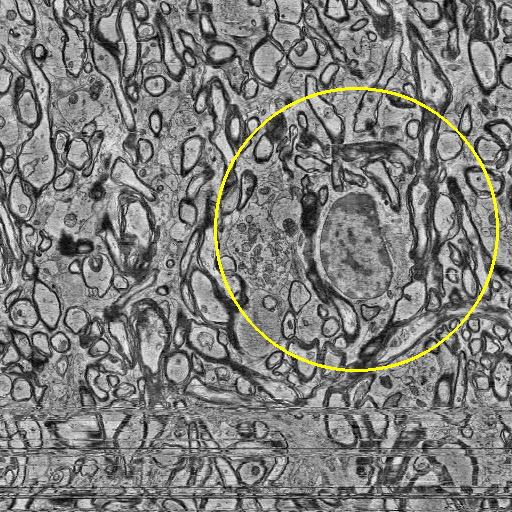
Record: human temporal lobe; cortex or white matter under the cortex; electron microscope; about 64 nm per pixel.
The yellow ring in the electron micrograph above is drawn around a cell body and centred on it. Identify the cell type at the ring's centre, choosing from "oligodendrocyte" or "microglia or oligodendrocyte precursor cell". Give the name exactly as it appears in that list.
microglia or oligodendrocyte precursor cell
